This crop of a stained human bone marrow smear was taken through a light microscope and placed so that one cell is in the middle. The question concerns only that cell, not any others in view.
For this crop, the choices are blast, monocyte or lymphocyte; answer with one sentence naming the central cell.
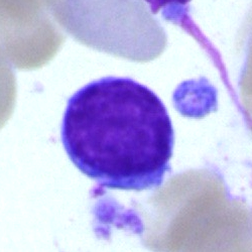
The crop centres on a single cell, and that cell is a lymphocyte.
